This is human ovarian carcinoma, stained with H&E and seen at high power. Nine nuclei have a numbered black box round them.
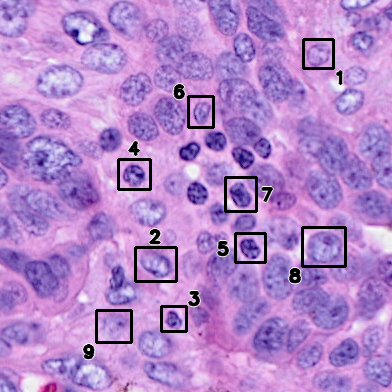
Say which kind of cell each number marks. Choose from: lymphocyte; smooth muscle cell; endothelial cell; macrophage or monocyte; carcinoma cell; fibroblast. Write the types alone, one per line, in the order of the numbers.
fibroblast
fibroblast
lymphocyte
lymphocyte
lymphocyte
macrophage or monocyte
lymphocyte
carcinoma cell
fibroblast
